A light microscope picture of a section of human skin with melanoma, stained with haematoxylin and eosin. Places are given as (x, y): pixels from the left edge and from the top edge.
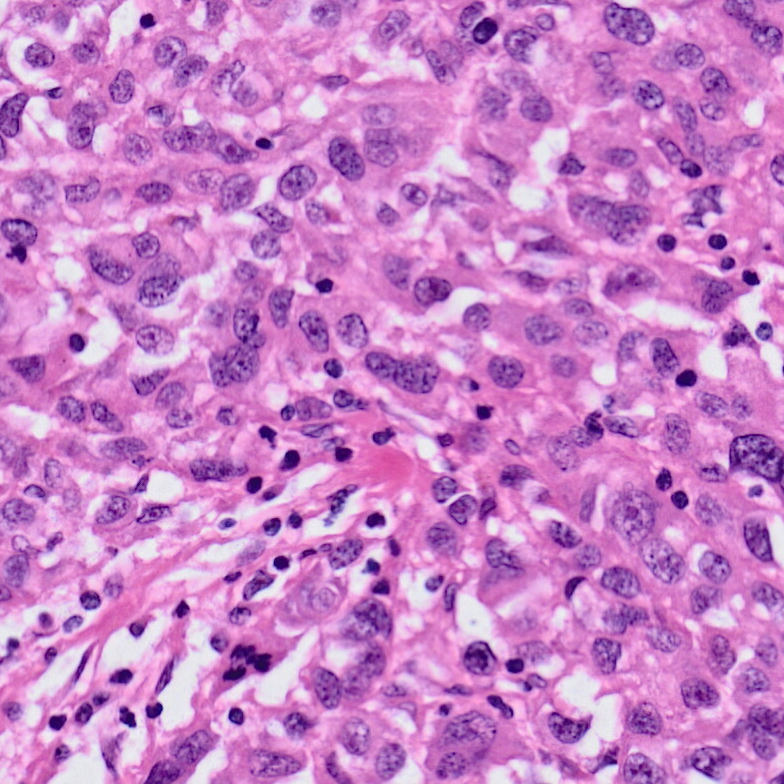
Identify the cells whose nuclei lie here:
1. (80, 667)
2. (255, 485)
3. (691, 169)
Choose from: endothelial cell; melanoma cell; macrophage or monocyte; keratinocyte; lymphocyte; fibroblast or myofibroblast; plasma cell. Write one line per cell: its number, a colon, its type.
1: fibroblast or myofibroblast
2: lymphocyte
3: lymphocyte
